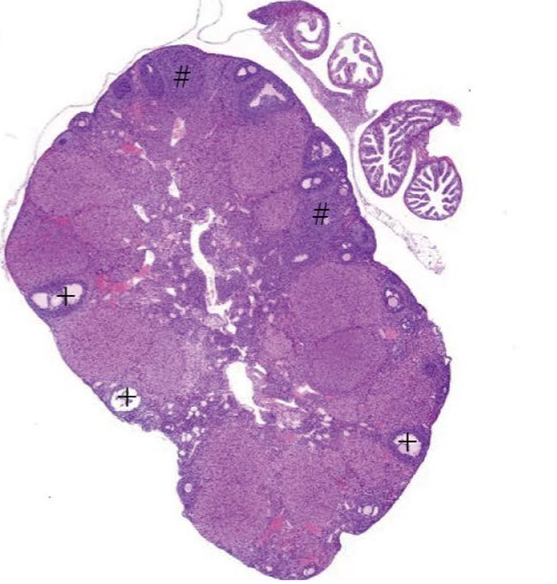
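Several follicles near the edge have become cysts. Large solid, rounded masses of cells fill much of the section. Beside the ovary lie thin membranes and cross-sections of a tube with a branched, folded lining.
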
